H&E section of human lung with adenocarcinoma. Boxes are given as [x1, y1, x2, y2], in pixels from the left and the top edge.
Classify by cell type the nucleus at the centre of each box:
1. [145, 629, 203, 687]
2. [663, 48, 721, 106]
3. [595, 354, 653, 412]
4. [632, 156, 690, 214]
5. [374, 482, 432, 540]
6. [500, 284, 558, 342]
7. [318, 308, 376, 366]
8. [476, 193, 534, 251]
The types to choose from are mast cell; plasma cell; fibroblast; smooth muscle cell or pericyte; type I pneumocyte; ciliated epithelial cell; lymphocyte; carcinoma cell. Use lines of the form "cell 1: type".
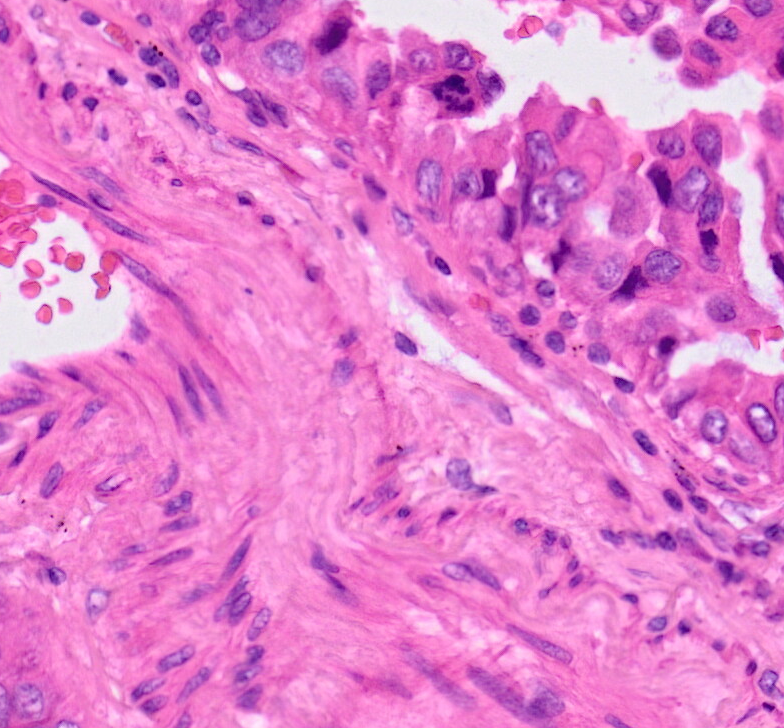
cell 1: smooth muscle cell or pericyte
cell 2: carcinoma cell
cell 3: lymphocyte
cell 4: carcinoma cell
cell 5: smooth muscle cell or pericyte
cell 6: lymphocyte
cell 7: smooth muscle cell or pericyte
cell 8: carcinoma cell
